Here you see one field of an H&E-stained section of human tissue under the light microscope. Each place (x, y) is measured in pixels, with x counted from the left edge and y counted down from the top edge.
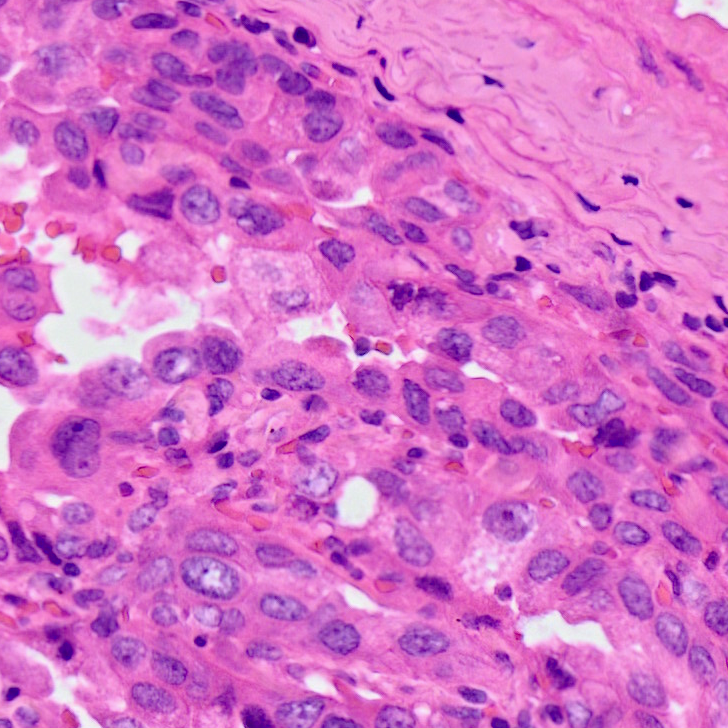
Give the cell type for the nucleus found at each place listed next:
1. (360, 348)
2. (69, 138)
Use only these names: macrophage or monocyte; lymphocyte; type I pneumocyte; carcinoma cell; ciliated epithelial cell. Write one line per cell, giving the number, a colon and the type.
1: lymphocyte
2: carcinoma cell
